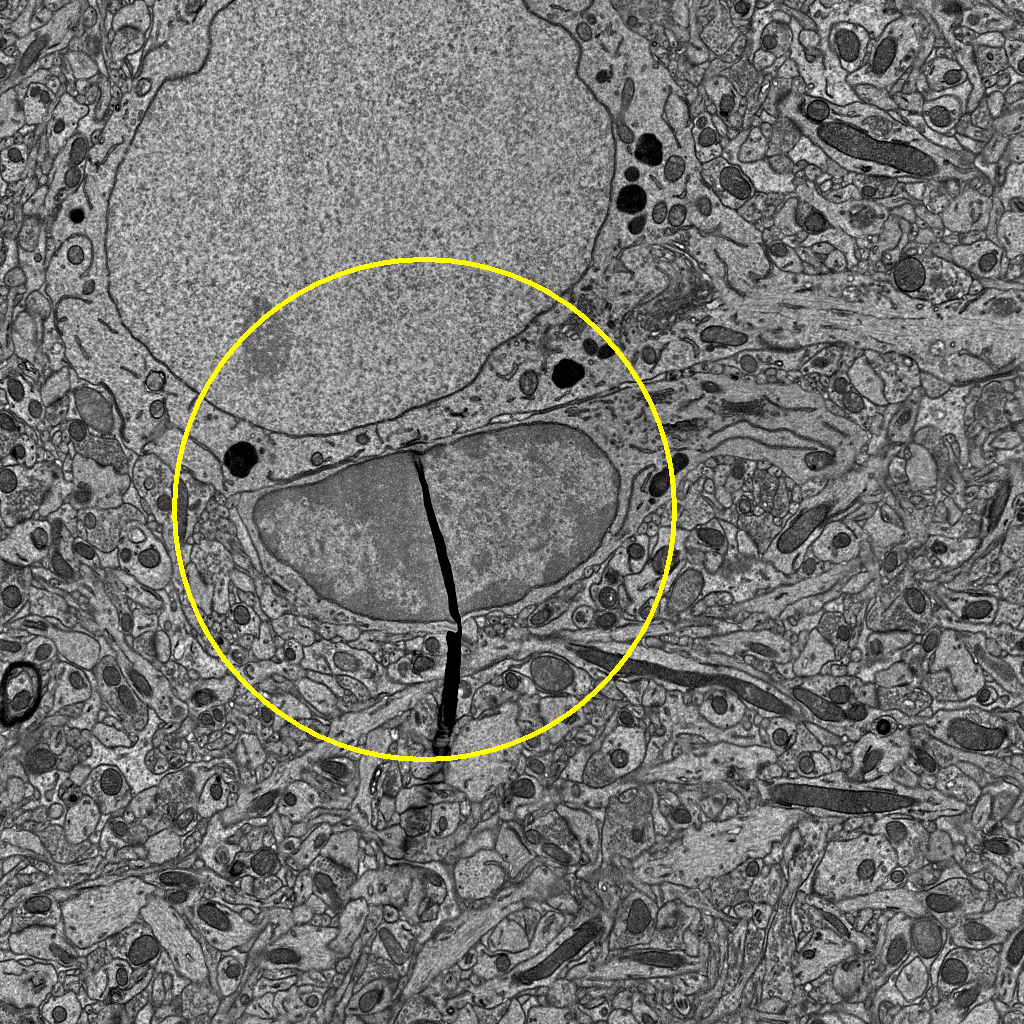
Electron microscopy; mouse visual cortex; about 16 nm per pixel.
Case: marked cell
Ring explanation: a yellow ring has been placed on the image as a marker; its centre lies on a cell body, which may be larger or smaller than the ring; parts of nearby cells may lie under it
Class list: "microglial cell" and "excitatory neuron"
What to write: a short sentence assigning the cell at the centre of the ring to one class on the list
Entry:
The cell at the ring's centre is a microglial cell.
